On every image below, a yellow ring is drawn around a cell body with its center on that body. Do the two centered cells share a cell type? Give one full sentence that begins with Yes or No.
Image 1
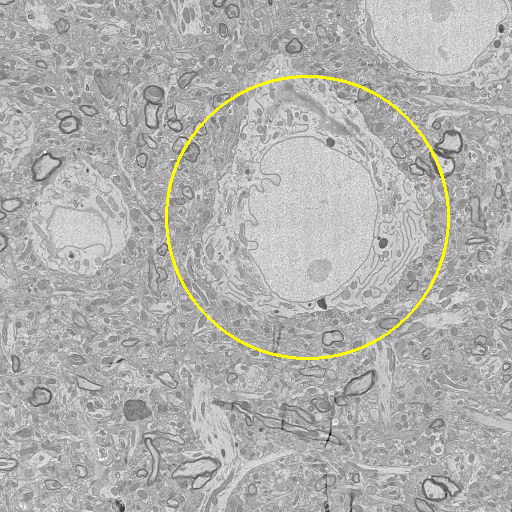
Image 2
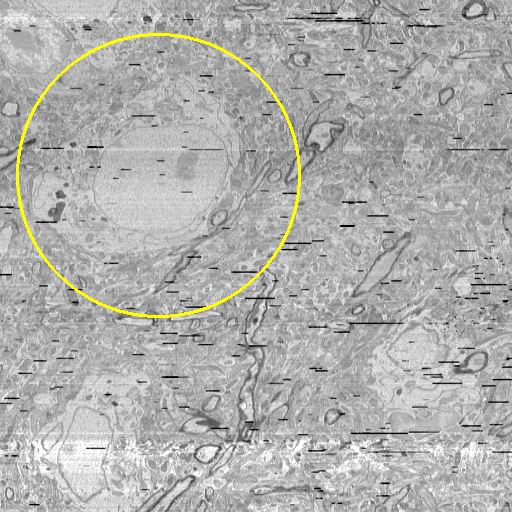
Yes, the centered cells in the two images are of a single cell type.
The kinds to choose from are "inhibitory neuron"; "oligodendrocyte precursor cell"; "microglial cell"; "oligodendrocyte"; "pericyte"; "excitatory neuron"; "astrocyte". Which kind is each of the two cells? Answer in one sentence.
Each of the two rings surrounds an excitatory neuron.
